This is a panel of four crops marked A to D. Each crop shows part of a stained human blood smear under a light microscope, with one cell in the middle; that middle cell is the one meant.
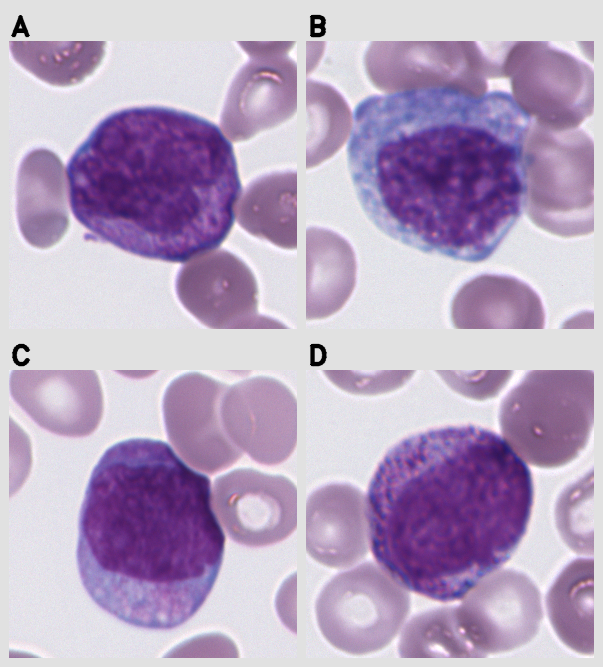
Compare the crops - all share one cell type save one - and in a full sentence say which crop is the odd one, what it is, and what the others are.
Whereas the other crops all show atypical promyelocytes, crop B shows a monocyte.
